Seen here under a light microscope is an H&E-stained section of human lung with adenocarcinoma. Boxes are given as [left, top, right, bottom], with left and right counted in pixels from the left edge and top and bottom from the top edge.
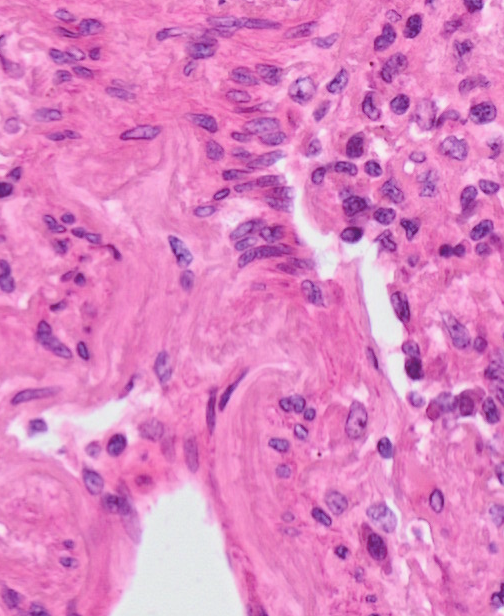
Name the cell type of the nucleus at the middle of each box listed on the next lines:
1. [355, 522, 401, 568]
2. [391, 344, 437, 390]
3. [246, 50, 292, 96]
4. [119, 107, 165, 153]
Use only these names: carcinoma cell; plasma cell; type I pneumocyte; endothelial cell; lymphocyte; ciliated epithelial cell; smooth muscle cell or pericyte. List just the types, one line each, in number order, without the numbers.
plasma cell
plasma cell
smooth muscle cell or pericyte
smooth muscle cell or pericyte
